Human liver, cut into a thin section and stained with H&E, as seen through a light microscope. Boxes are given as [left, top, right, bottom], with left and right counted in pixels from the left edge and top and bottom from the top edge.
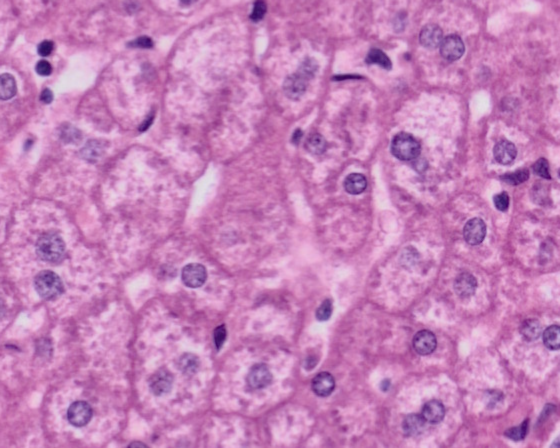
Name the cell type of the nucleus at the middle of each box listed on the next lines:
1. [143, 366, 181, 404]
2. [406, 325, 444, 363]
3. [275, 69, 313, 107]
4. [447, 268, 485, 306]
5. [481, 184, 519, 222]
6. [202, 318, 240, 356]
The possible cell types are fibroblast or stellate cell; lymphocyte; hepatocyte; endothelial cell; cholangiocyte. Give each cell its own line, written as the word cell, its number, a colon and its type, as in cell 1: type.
cell 1: hepatocyte
cell 2: hepatocyte
cell 3: hepatocyte
cell 4: hepatocyte
cell 5: lymphocyte
cell 6: endothelial cell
